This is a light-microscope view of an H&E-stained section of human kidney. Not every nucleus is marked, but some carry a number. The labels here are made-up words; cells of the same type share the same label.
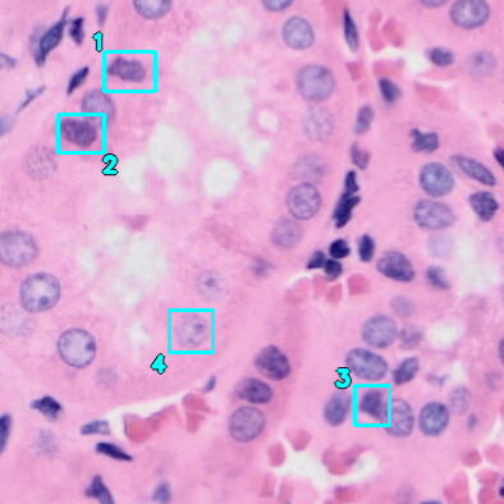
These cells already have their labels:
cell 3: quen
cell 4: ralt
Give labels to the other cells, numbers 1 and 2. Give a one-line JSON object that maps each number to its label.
{"1": "ralt", "2": "ralt"}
